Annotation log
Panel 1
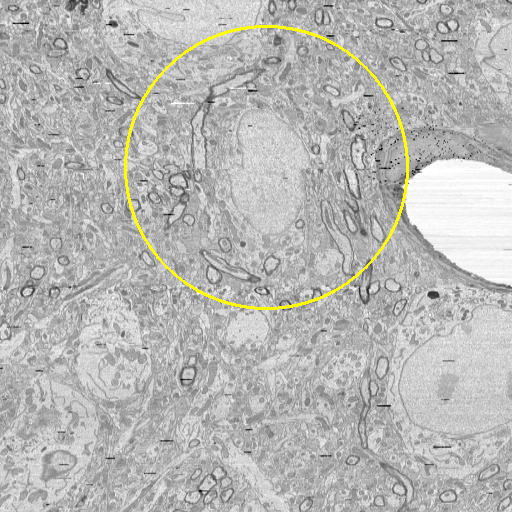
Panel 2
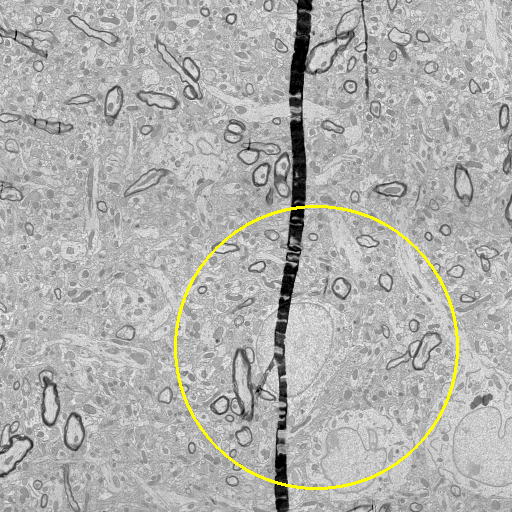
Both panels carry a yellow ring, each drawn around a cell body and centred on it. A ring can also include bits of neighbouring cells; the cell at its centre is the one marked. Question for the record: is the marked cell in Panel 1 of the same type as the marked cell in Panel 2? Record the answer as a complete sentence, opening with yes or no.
Yes, the marked cells in Panel 1 and Panel 2 are of the same type.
